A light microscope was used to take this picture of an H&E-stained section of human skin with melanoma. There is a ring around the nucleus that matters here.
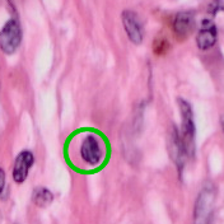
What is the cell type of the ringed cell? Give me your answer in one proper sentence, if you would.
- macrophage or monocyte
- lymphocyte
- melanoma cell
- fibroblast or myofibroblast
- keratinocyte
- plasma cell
The expected answer is simply that the ringed cell is a lymphocyte.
